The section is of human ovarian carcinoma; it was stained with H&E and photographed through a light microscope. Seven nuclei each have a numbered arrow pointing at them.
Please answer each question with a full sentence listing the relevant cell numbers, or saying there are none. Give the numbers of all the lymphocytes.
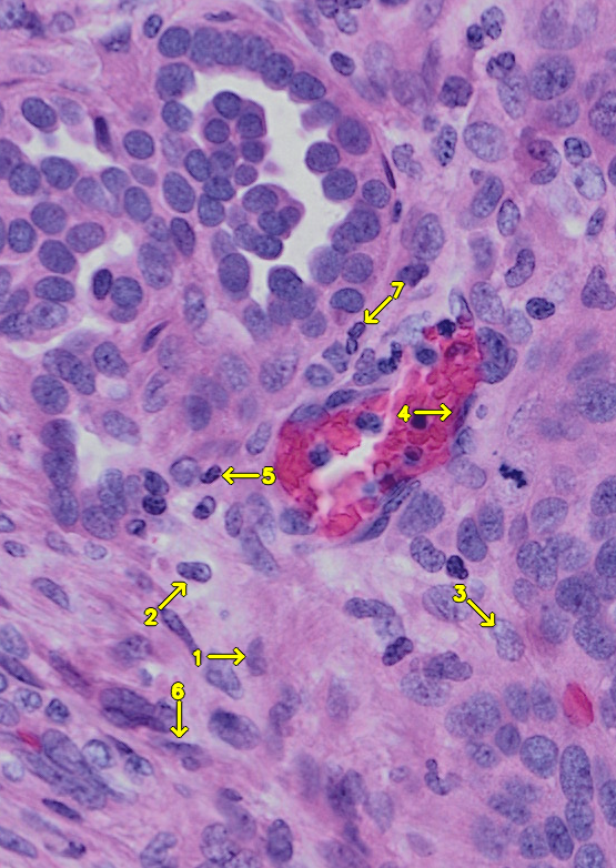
The cells numbered 2, 5 and 7 are of one kind: lymphocytes.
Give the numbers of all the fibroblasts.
The cells the numbers 1, 3 and 6 point to are fibroblasts.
